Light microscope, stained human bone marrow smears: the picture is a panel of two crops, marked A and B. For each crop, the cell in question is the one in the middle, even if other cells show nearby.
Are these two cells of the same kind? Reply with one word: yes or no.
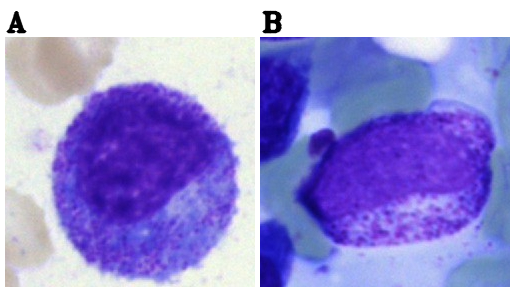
no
